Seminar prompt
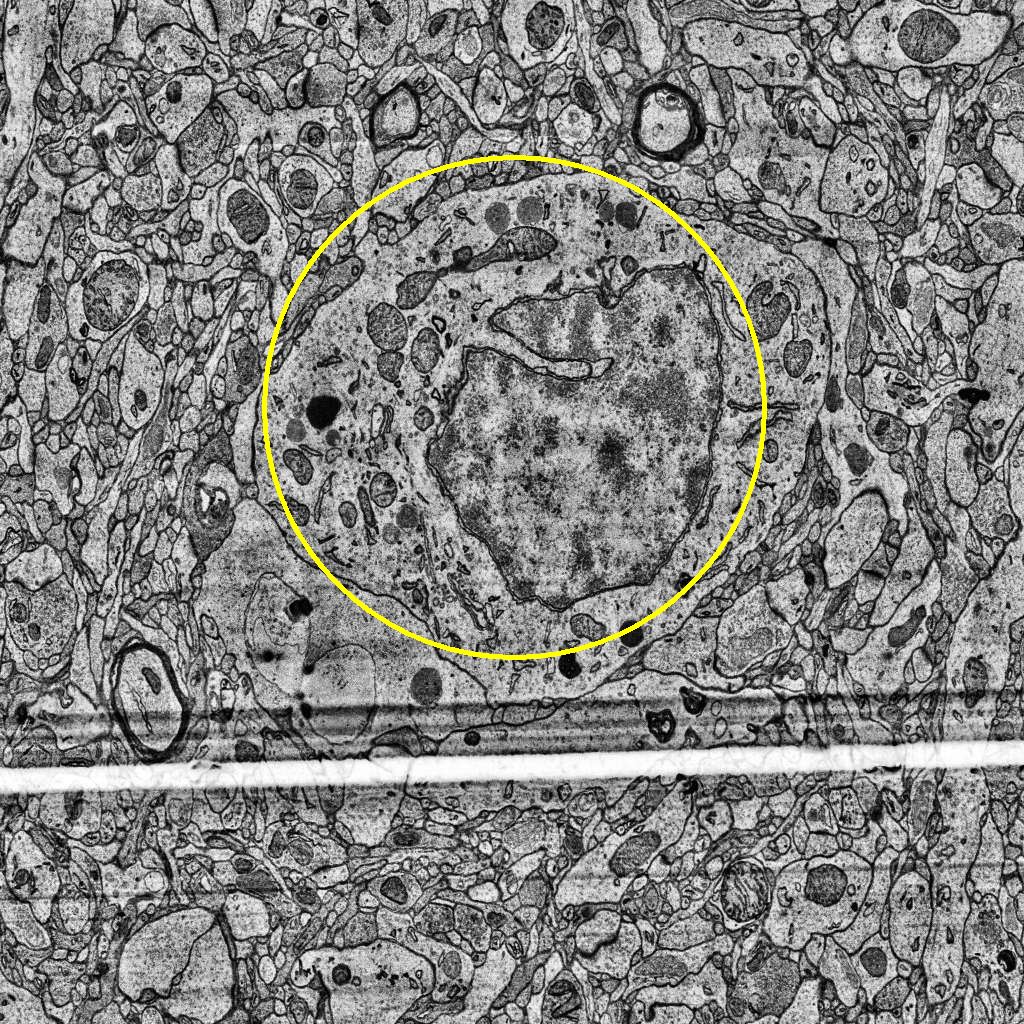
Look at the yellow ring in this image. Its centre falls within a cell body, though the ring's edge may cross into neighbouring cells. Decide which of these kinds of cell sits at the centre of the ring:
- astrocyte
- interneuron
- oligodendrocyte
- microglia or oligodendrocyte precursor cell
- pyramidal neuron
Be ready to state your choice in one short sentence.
The kind of cell at the ring's centre is an interneuron.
